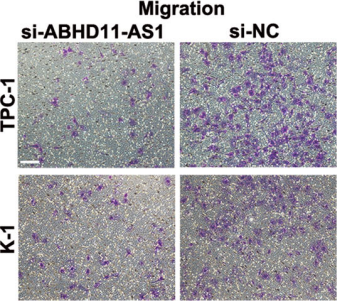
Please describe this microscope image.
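The stained cells lie scattered singly or in small groups. They have irregular, spread shapes, some with short extensions, and are much larger than the pores around them.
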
